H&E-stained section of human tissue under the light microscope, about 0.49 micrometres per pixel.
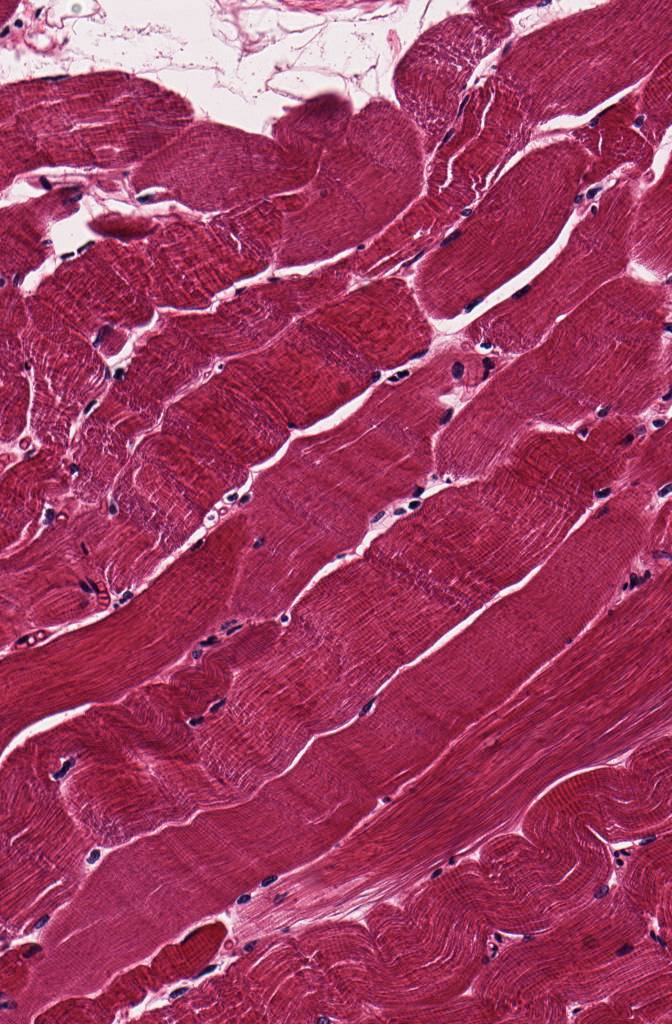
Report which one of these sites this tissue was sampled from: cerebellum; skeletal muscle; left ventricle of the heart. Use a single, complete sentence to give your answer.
The tissue seen in this section was sampled from the skeletal muscle.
